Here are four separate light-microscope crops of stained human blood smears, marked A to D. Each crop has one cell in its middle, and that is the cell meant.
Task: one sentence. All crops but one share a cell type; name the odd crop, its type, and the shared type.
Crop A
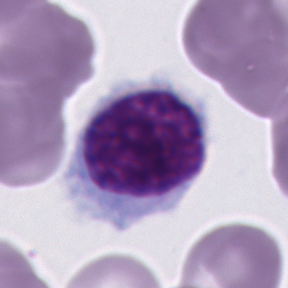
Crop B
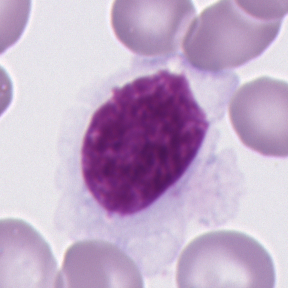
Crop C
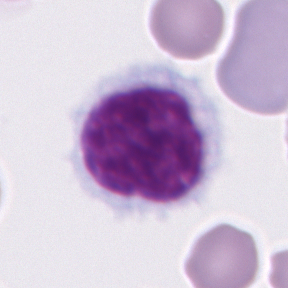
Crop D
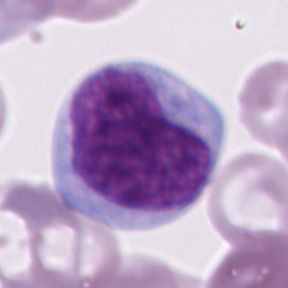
Crop D stands apart as a monocyte, whereas the remaining crops all show hairy cells.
